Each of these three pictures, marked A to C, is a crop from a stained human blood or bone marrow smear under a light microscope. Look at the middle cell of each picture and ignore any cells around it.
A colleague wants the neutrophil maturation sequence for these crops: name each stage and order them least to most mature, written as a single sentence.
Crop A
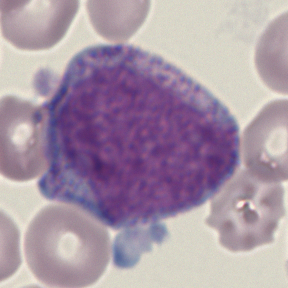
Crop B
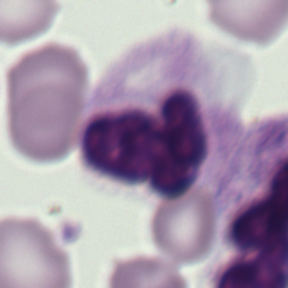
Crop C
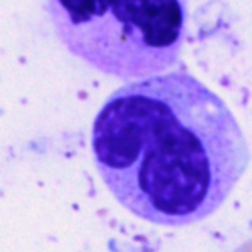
The order, going from least to most mature, is crop A (a promyelocyte), crop C (a metamyelocyte) and crop B (a segmented neutrophil).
